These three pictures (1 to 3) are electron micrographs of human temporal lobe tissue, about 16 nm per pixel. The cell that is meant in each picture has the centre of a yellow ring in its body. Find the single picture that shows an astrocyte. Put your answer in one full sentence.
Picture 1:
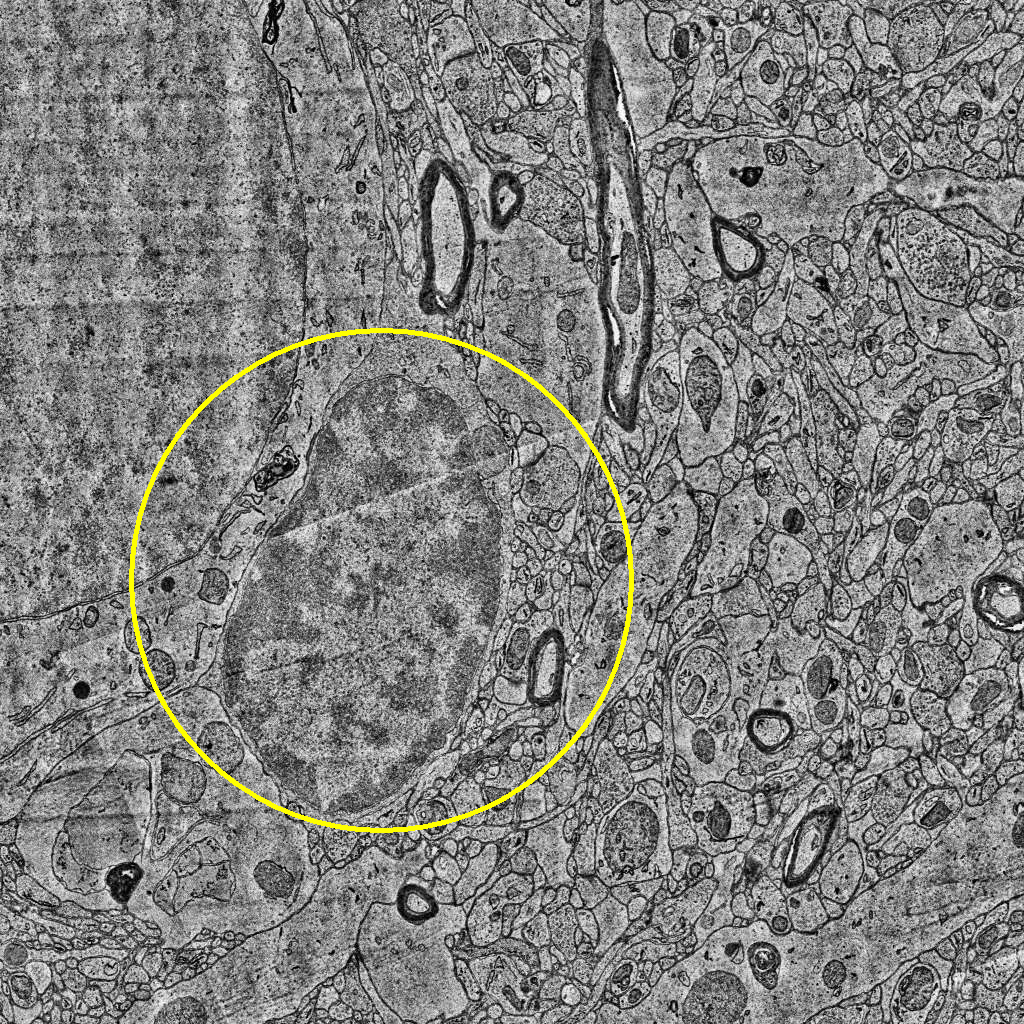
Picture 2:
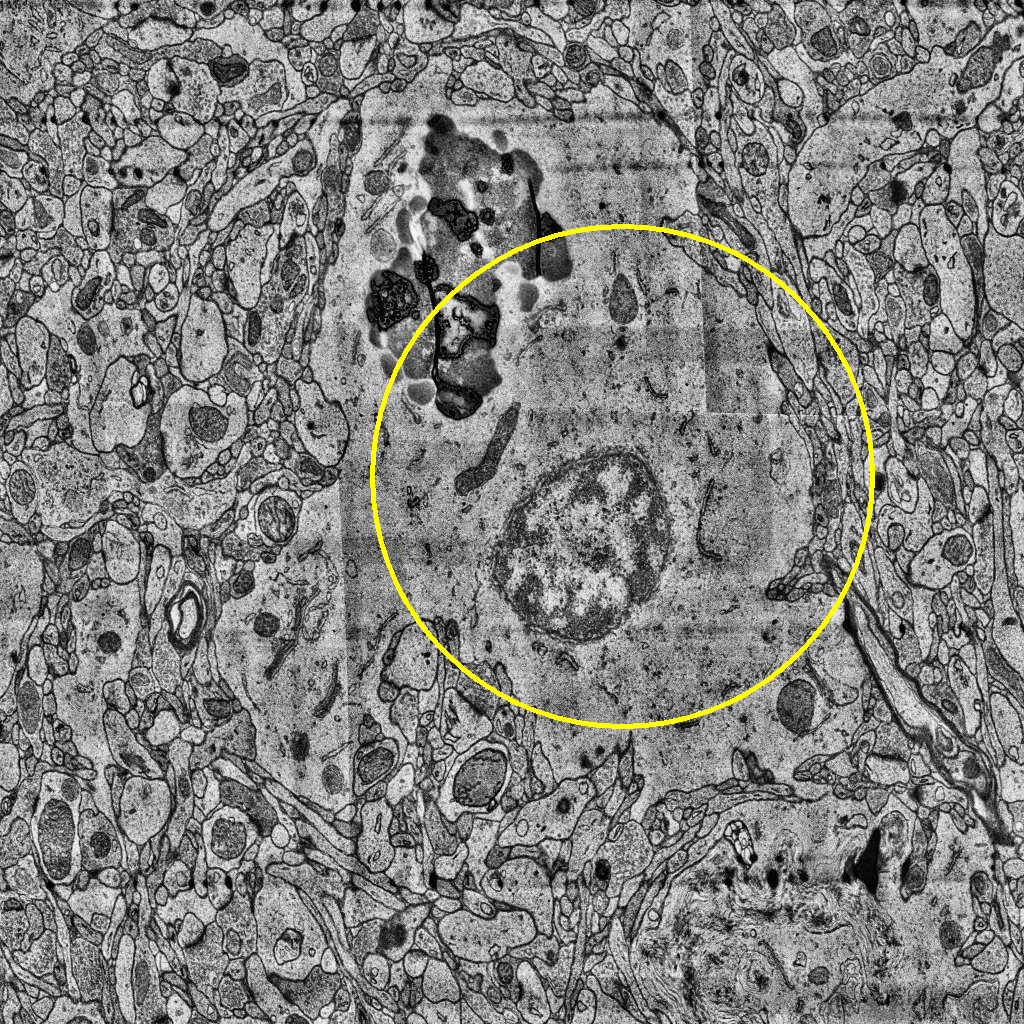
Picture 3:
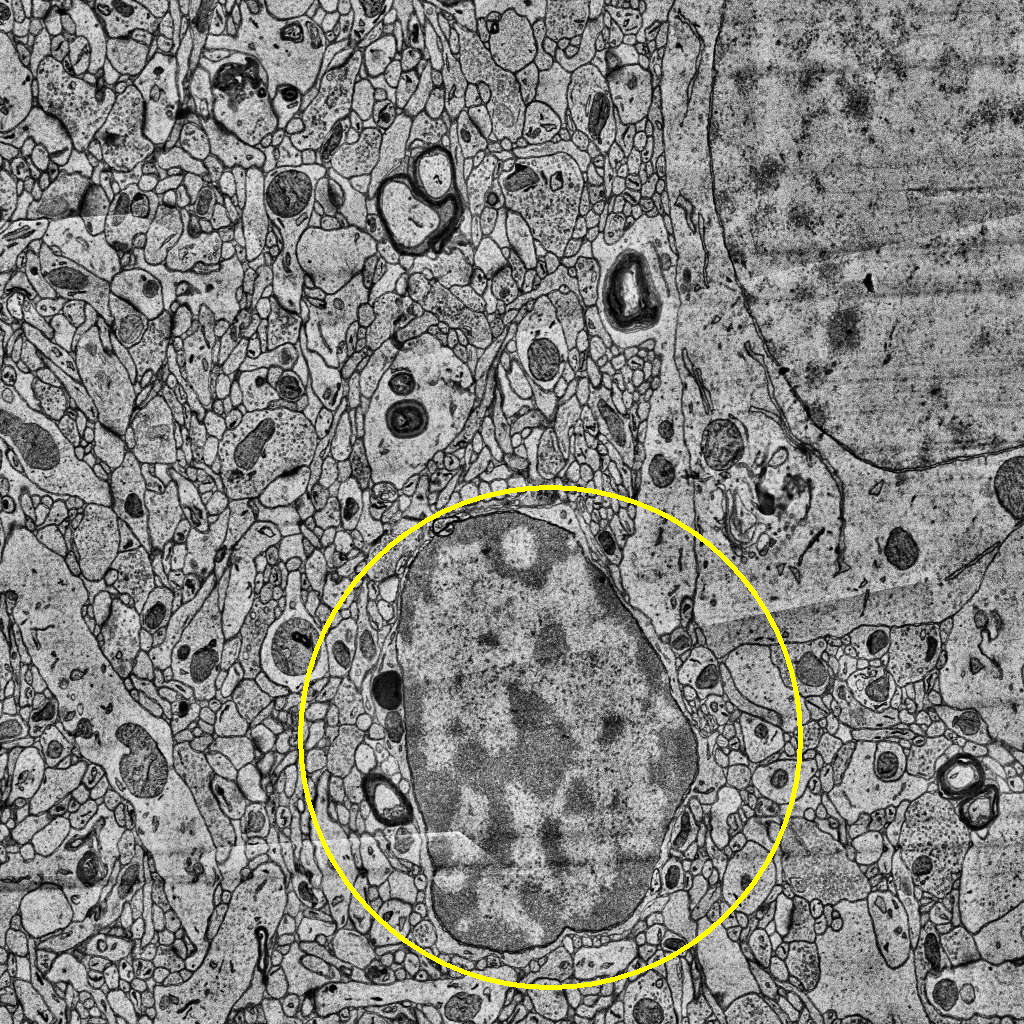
Picture 2 shows the astrocyte.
